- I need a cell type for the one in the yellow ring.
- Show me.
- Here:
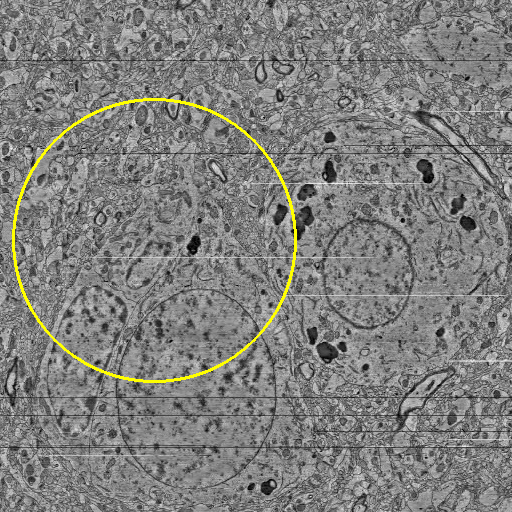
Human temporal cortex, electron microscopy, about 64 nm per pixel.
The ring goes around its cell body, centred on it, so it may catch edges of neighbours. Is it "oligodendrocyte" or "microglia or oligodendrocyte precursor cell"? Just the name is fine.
microglia or oligodendrocyte precursor cell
